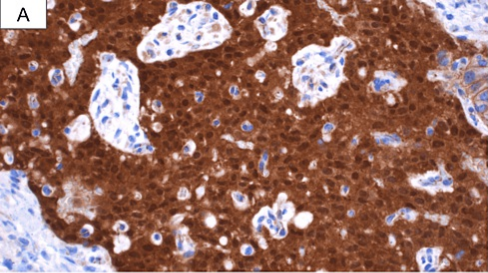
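A solid neoplasm of closely packed, fairly uniform polygonal tumor cells forms a continuous sheet that is intensely stained brown. The brown colour fills both the cytoplasm and most of the round to oval nuclei, so that the cells stand out sharply. Scattered through the sheet are small, pale, loosely fibrous cores holding thin-walled blood vessels; the cells lining and lying within these cores are unstained and show only blue nuclei. Broader pale fibrous stroma borders the sheet at the corners. Small clear spaces and vacuoles are dotted between the tumor cells.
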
